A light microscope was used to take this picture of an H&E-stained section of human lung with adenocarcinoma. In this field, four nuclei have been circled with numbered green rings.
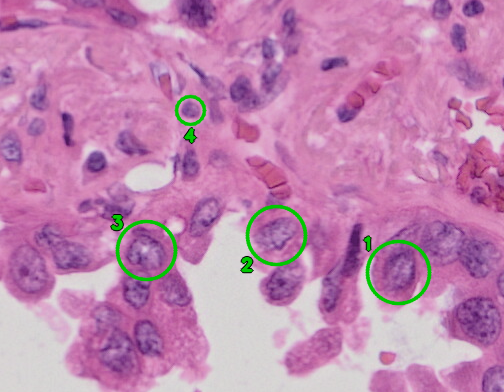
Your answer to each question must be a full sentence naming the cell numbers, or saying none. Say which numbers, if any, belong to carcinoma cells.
So, the cells with numbers 1, 2 and 3 are carcinoma cells.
